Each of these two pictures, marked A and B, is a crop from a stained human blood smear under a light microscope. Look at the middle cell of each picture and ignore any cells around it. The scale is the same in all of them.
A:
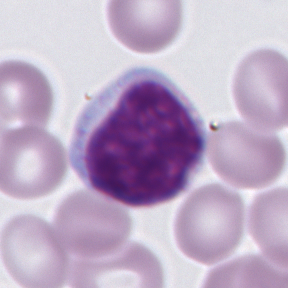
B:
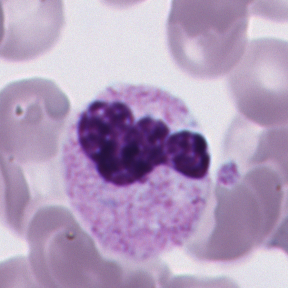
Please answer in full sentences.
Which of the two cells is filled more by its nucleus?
In crop A the nucleus takes up the larger part of its cell.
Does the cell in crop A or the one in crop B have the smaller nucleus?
Smaller is the nucleus in crop B, and the other is about 1.5 times as large in area.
